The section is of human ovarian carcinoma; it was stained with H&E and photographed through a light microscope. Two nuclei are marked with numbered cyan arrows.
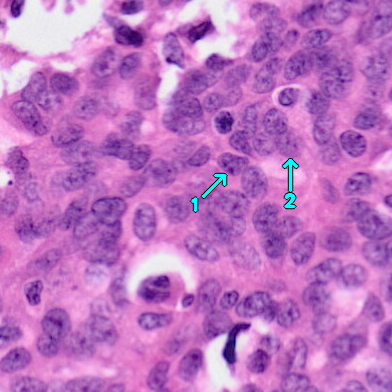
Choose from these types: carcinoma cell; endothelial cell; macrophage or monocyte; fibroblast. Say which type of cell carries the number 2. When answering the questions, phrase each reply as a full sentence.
As for number 2, that cell is a carcinoma cell.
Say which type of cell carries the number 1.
Regarding cell 1, this one is a macrophage or monocyte.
